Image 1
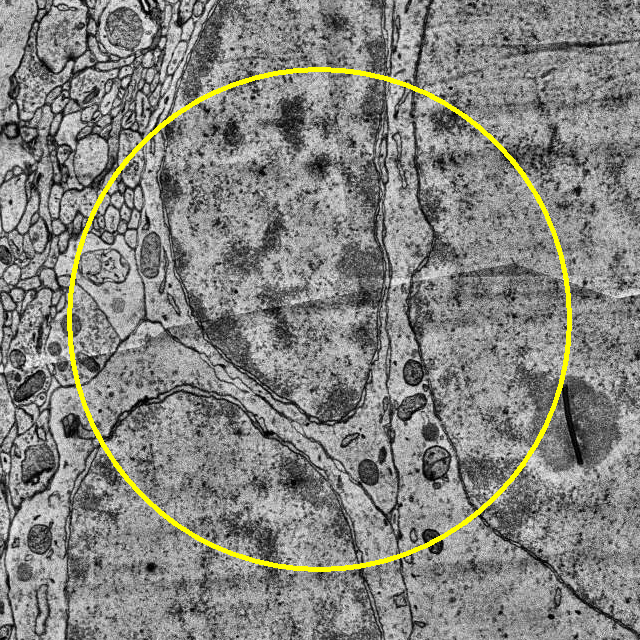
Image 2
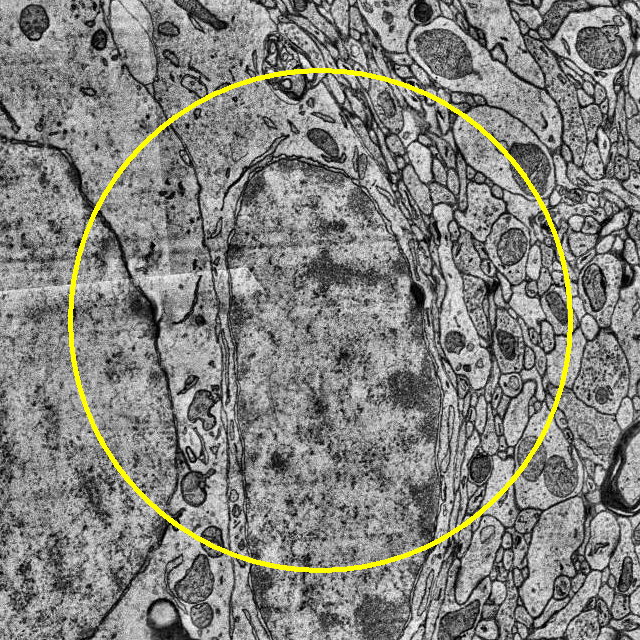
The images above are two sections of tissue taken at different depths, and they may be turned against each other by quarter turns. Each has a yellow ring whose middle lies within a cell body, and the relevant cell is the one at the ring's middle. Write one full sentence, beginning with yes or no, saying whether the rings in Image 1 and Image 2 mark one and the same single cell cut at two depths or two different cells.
Yes, the first and second rings frame the same single cell.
